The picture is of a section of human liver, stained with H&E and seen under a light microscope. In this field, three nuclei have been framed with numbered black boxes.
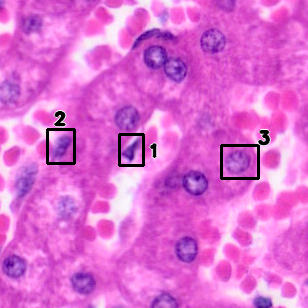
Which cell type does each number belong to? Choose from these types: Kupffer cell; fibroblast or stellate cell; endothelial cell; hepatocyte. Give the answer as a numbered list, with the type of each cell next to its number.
1. endothelial cell
2. fibroblast or stellate cell
3. hepatocyte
